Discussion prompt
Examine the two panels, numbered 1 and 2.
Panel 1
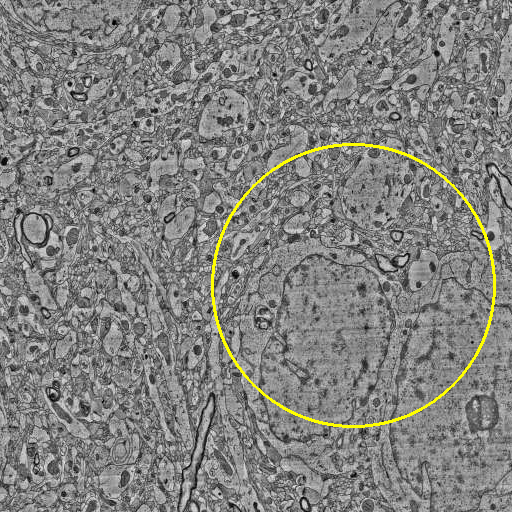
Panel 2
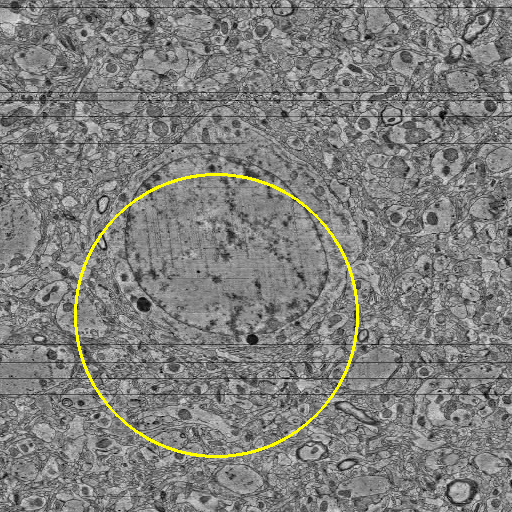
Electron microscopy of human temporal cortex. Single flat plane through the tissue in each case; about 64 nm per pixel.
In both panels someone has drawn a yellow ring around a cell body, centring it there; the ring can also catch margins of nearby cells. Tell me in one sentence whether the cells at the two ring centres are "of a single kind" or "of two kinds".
Taken together, the two cells centred in the rings of Panels 1 and 2 are of two kinds.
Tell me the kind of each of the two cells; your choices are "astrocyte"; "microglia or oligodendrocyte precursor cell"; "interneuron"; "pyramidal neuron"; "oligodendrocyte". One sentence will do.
The ringed cell is an interneuron in the first picture and a pyramidal neuron in the second picture.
